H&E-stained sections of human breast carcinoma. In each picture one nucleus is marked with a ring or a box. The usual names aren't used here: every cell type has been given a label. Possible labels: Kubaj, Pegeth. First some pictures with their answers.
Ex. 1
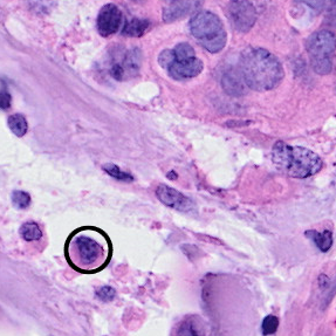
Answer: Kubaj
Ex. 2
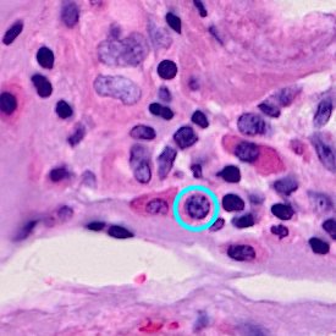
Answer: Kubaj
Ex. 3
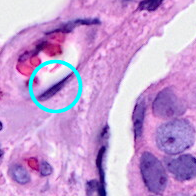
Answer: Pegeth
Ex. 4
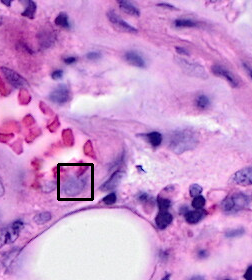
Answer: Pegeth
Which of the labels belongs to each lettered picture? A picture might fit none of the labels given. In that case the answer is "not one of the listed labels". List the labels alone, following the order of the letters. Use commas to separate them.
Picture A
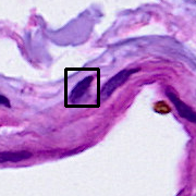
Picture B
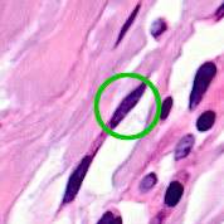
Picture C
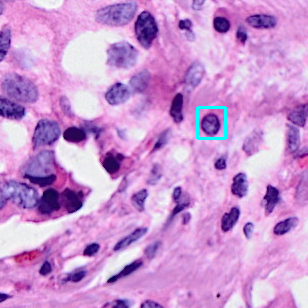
not one of the listed labels, not one of the listed labels, Kubaj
